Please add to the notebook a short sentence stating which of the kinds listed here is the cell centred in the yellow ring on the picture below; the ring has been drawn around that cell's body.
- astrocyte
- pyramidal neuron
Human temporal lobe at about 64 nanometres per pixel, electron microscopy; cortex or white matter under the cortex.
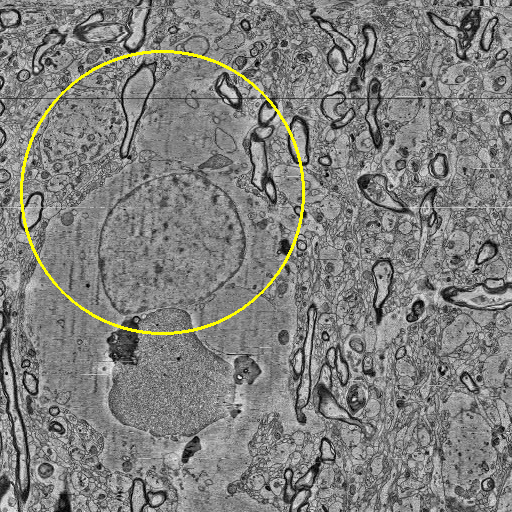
The cell centred in the yellow ring is an astrocyte.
